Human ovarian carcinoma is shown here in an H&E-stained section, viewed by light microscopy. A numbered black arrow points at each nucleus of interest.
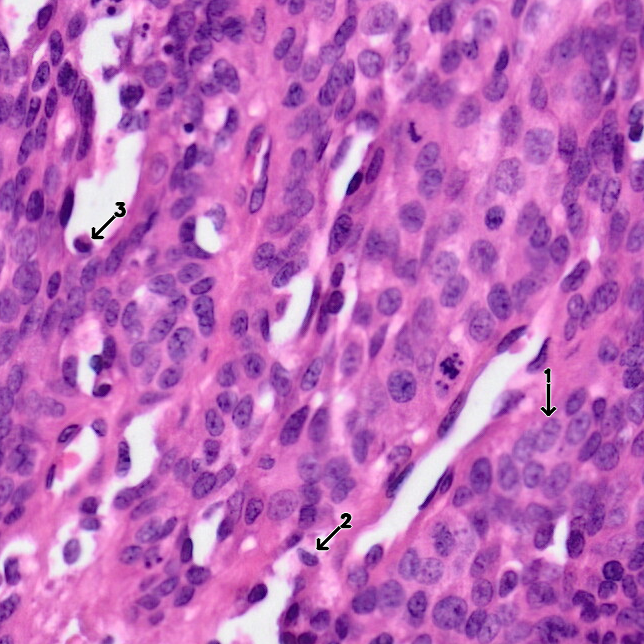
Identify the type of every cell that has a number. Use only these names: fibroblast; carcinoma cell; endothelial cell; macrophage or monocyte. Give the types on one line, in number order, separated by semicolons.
carcinoma cell; macrophage or monocyte; carcinoma cell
